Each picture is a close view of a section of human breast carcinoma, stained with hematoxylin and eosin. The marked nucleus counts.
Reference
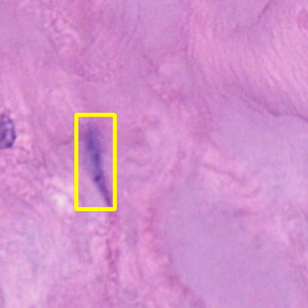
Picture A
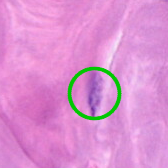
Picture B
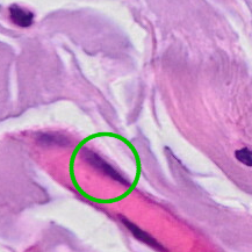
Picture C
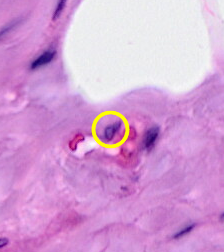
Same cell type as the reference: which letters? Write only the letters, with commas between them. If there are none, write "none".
A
